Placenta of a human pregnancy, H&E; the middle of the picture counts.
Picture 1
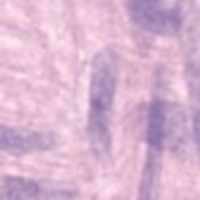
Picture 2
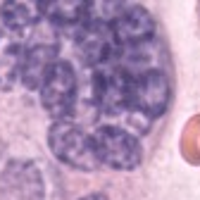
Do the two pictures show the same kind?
No: a vascular myocyte, then a syncytial knot.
